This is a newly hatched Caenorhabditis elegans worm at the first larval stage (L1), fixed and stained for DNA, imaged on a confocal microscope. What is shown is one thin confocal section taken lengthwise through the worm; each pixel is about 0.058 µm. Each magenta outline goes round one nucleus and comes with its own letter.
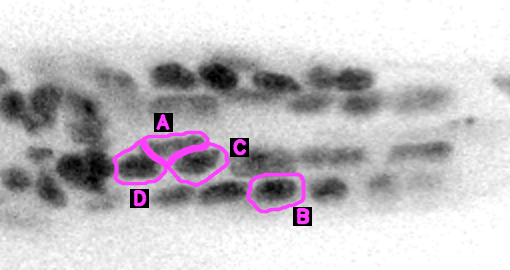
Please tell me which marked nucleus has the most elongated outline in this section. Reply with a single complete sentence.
A is the most elongated.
